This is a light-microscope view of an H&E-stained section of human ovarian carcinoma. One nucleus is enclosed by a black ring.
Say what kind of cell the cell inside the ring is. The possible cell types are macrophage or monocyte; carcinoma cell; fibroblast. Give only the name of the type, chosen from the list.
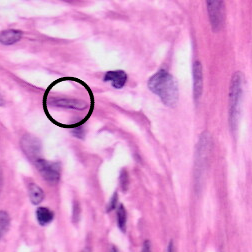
fibroblast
